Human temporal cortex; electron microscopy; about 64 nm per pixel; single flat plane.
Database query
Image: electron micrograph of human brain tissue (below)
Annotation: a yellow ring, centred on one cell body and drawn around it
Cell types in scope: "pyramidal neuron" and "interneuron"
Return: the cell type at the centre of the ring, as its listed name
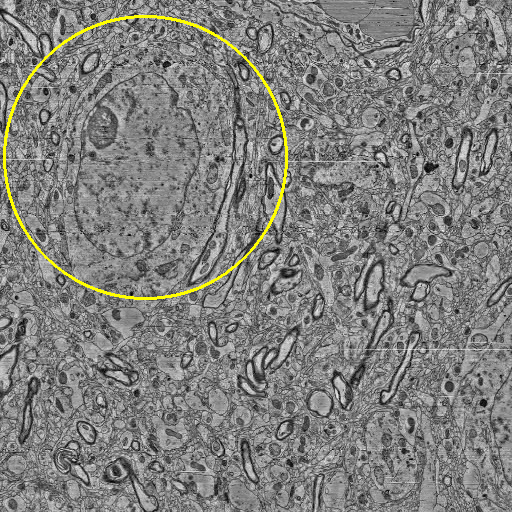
pyramidal neuron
